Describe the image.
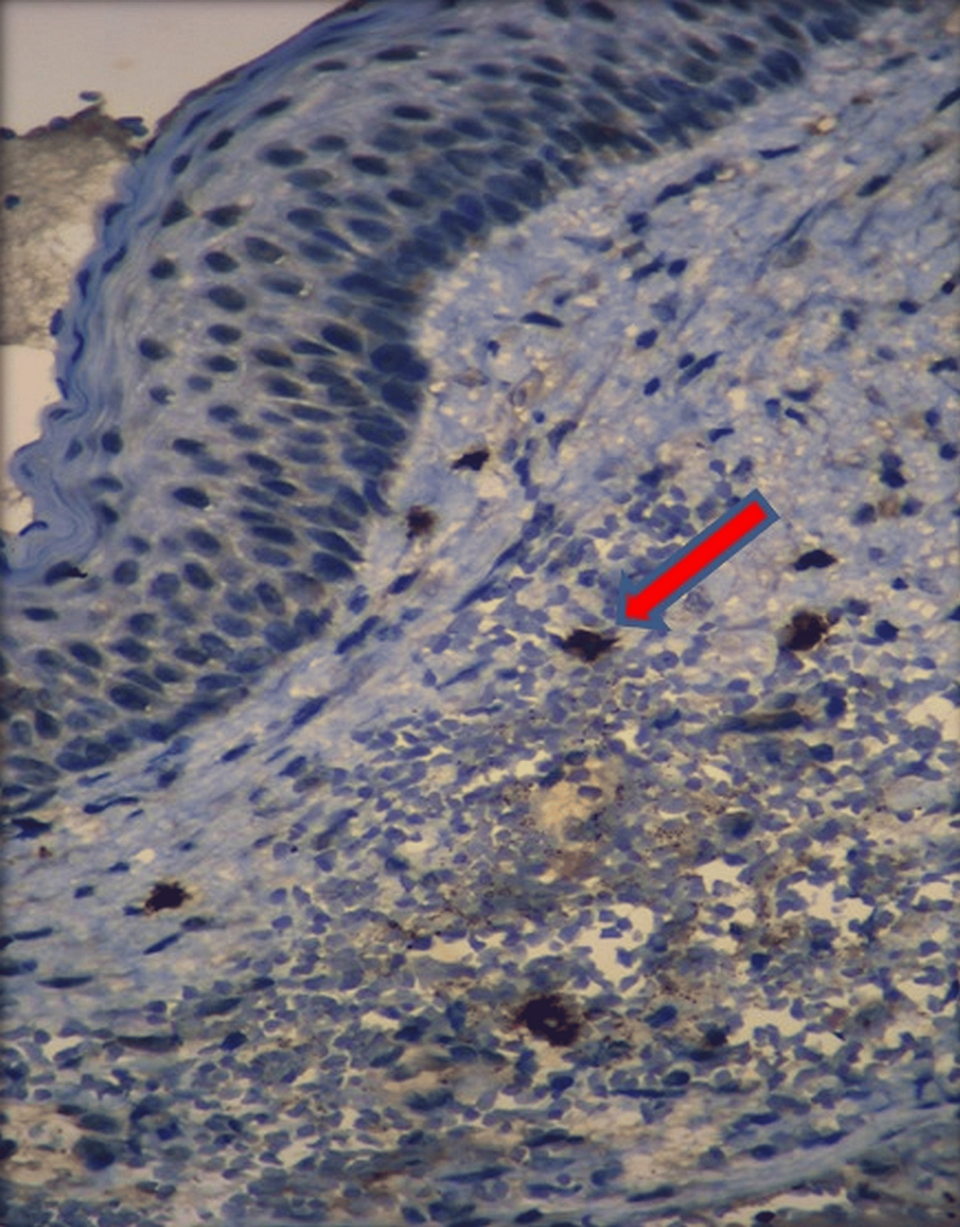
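The lining along the upper left is a stratified epithelium of several cell layers, its surface thrown into a thin, wavy keratinized layer. The basal cells have dark, elongated nuclei arranged in a row along the junction with the connective tissue. The underlying connective tissue holds many small blue nuclei, more crowded in its deeper lower part. The brown cells are single, roundish and dense, spread apart from one another within this stroma. Some faint brown granular material also lies among the cells in the deeper tissue.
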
